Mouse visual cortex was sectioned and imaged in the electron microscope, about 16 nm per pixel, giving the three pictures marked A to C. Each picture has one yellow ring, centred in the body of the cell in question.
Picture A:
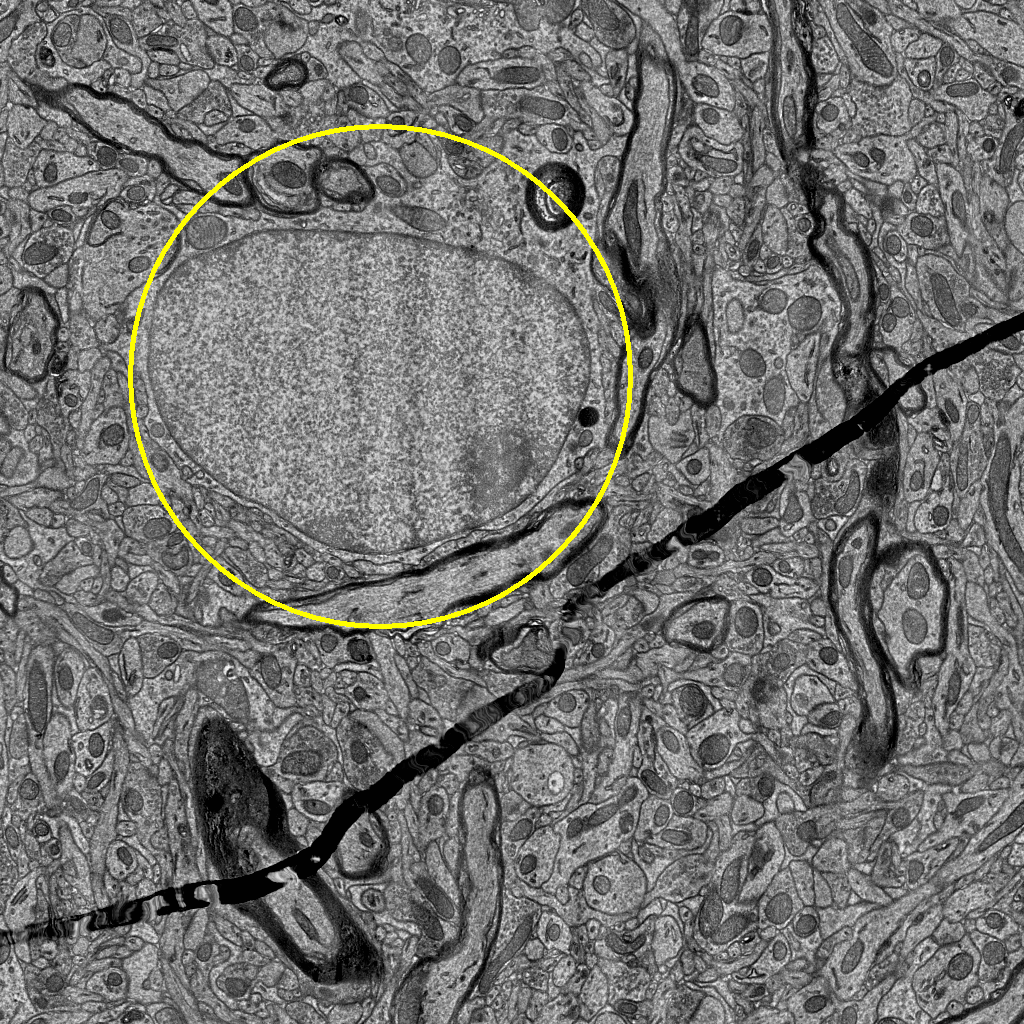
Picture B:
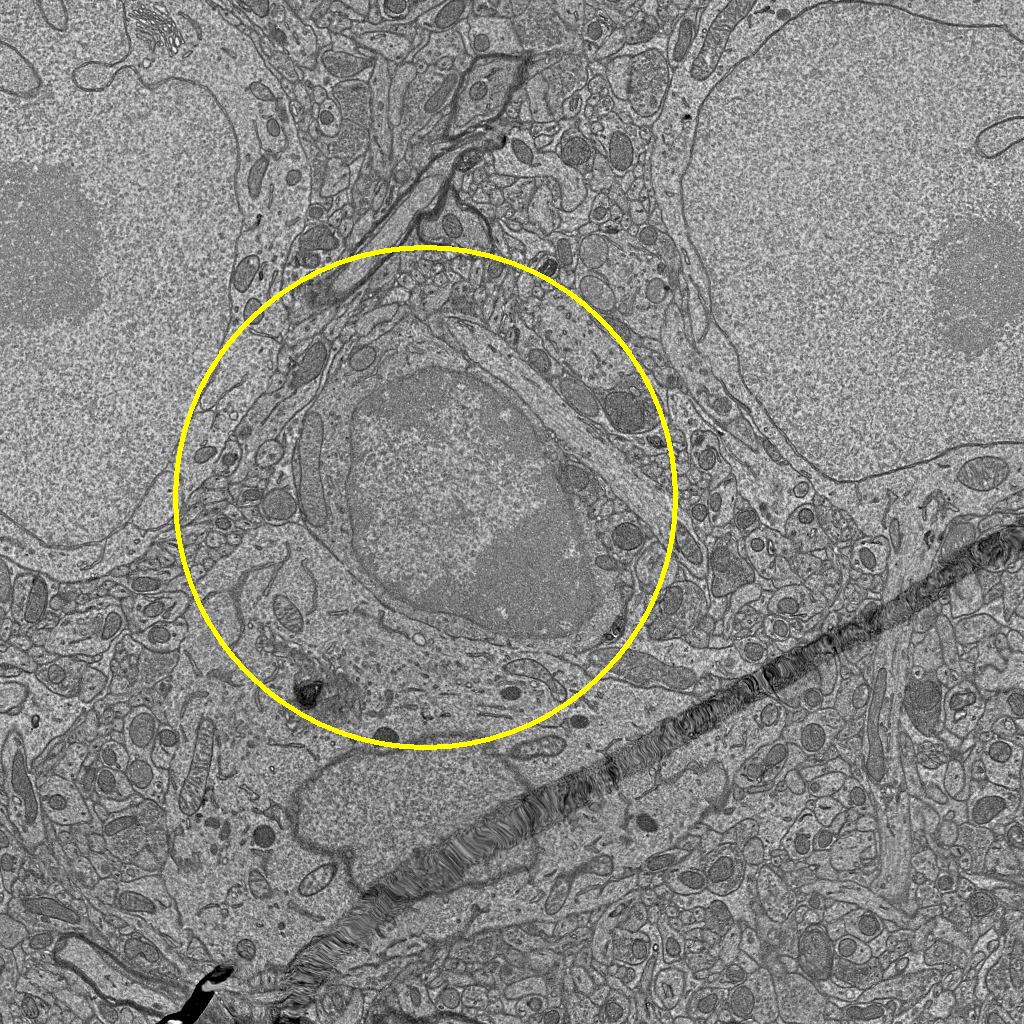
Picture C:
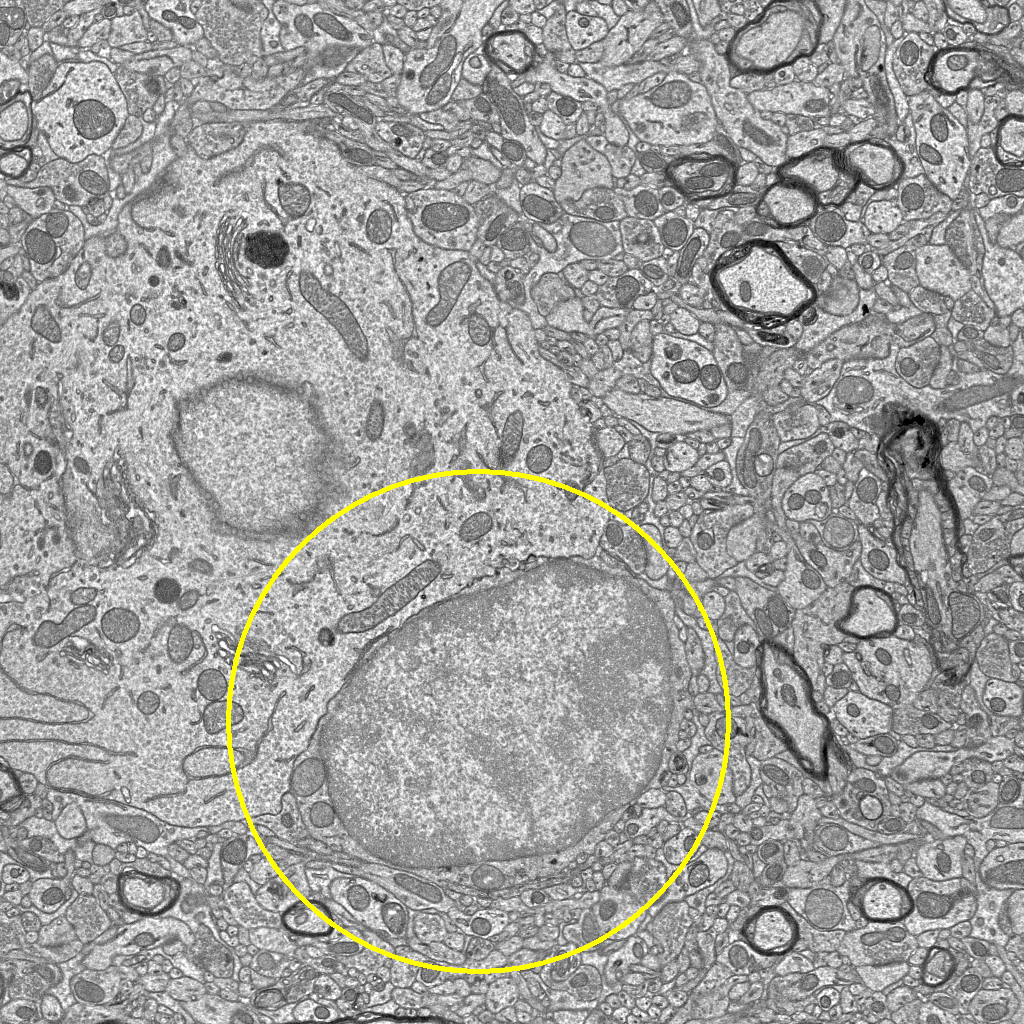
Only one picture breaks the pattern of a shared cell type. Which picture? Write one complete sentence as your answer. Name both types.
Picture A is the odd one out: it shows an astrocyte, while the others show oligodendrocytes.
